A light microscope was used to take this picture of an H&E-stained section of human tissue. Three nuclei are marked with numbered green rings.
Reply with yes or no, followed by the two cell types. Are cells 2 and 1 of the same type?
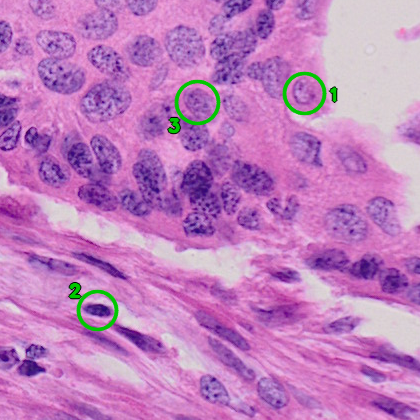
No, cell 2 is a lymphocyte, and cell 1, on the other hand, is a squamous carcinoma cell.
